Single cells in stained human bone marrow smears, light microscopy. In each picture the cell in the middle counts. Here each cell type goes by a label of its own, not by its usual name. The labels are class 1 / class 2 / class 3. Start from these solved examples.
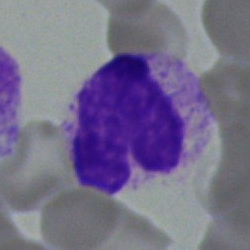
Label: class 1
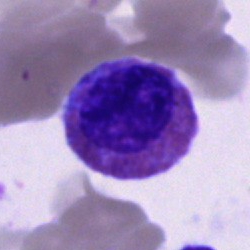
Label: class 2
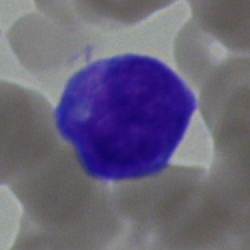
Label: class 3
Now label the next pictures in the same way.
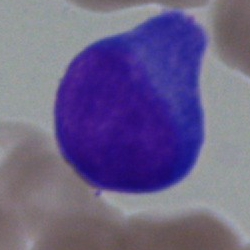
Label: class 3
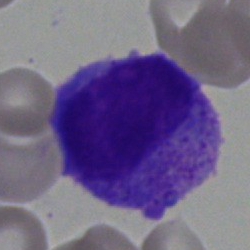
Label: class 3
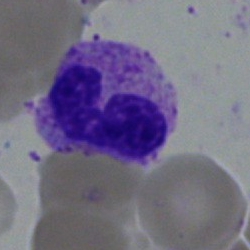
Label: class 1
